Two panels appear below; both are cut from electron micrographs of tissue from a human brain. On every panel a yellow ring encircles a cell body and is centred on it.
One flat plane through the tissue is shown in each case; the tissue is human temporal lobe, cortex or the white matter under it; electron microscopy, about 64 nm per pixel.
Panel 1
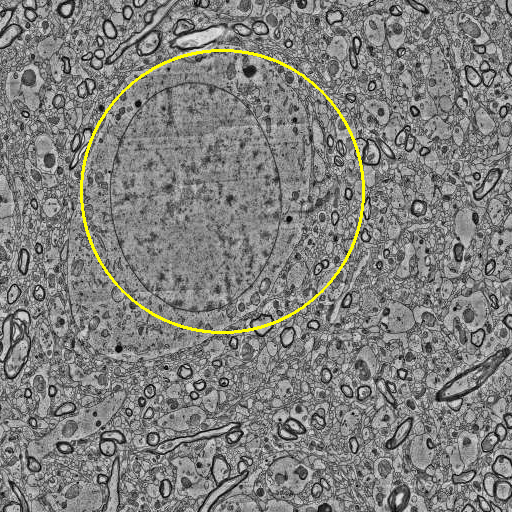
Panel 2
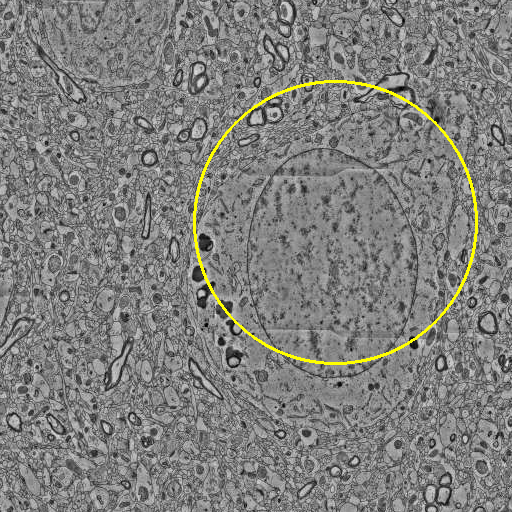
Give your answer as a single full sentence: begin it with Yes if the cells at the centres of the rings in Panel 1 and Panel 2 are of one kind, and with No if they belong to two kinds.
Yes, the cells in the middle of the rings in Panels 1 and 2 are of one kind.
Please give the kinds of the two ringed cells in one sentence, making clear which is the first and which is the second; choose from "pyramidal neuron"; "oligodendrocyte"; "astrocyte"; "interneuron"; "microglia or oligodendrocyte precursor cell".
Each of the two pictures has a pyramidal neuron at the ring centre.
